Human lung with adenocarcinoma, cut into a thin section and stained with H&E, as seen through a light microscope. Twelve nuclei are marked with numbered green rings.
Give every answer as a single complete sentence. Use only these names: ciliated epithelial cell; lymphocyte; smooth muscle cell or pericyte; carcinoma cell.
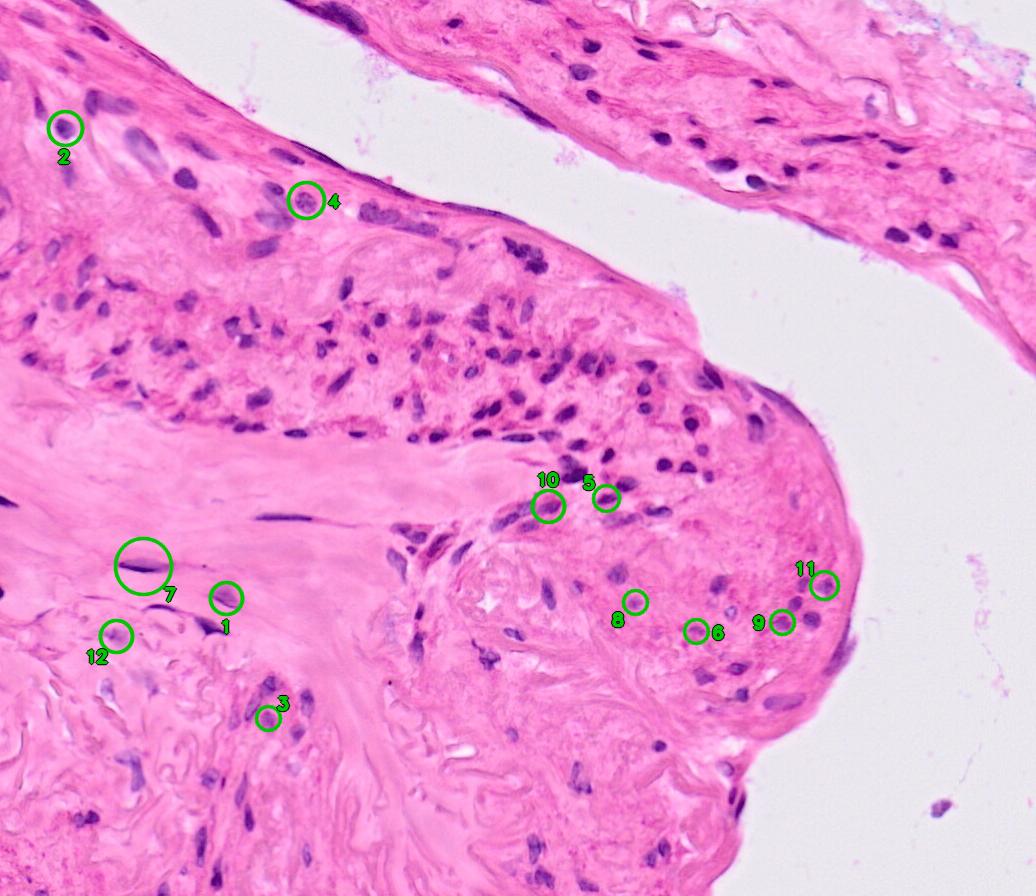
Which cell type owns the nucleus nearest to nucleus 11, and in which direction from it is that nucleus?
It is a smooth muscle cell or pericyte, whose nucleus lies to the left of nucleus 11.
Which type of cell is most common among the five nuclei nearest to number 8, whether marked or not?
Smooth muscle cells or pericytes account for more than half of the five nuclei nearest to number 8.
